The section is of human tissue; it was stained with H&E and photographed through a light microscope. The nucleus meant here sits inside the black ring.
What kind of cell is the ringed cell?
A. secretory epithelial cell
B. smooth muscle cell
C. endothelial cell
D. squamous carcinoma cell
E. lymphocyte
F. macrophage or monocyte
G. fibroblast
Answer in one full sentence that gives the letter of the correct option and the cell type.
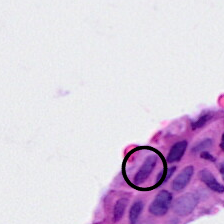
With the ringed cell being a secretory epithelial cell, option A is correct.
